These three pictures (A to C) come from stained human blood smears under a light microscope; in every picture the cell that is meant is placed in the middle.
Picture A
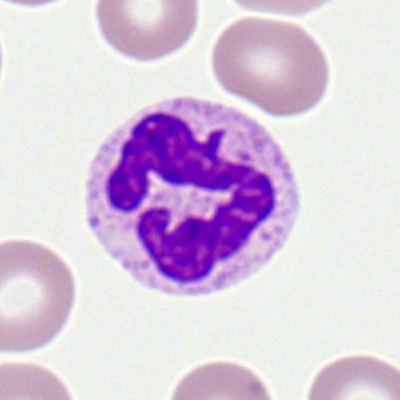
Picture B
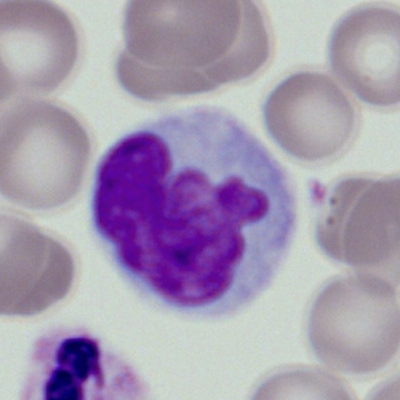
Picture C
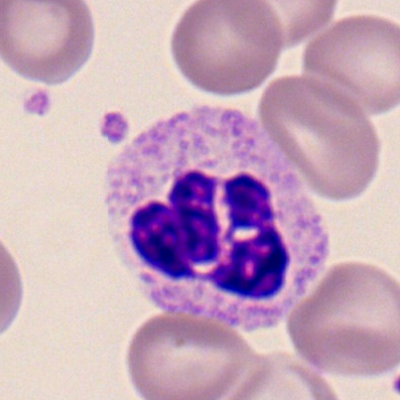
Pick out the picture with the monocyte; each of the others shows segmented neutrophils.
B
